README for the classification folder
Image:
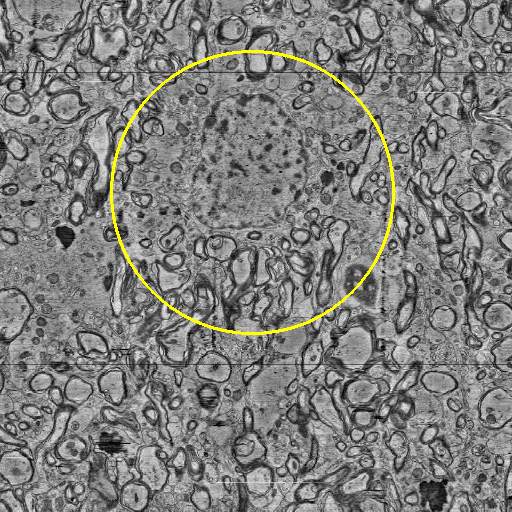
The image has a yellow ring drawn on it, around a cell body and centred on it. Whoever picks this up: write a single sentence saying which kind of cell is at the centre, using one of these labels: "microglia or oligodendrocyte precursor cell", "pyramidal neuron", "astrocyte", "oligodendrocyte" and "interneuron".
This cell body is that of an astrocyte.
